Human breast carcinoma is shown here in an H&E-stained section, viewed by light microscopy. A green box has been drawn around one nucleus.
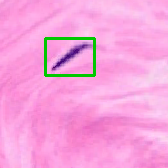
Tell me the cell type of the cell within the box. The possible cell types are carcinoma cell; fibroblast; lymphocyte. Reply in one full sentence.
The expected answer is simply that the cell within the box is a fibroblast.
